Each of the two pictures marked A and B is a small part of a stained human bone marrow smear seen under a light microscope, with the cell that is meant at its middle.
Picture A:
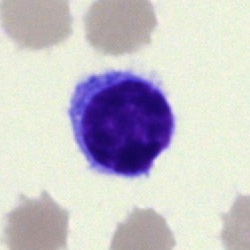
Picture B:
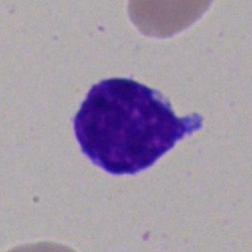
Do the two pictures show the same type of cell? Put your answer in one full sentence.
No, picture A shows a lymphocyte and picture B shows a blast.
